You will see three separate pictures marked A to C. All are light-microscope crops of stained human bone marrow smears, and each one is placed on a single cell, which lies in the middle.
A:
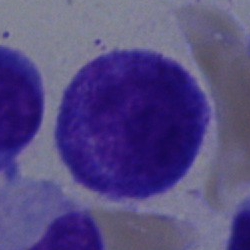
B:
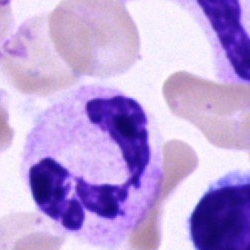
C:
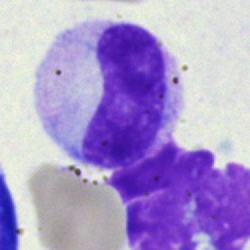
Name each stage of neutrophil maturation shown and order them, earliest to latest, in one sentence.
The arrangement from least to most mature is crop A (a promyelocyte), crop C (a band neutrophil) and crop B (a segmented neutrophil).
